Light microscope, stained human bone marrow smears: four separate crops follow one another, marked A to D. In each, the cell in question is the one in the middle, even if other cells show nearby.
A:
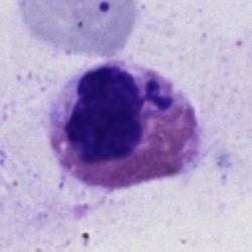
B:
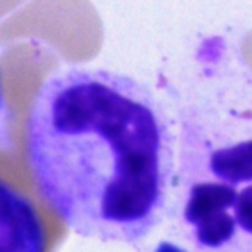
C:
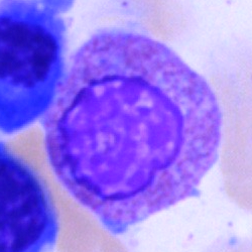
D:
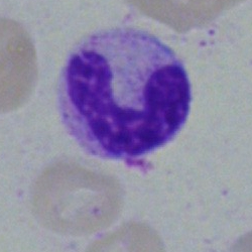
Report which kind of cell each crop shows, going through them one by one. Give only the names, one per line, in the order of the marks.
eosinophil
band neutrophil
eosinophil
band neutrophil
